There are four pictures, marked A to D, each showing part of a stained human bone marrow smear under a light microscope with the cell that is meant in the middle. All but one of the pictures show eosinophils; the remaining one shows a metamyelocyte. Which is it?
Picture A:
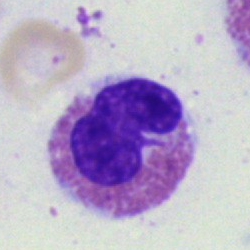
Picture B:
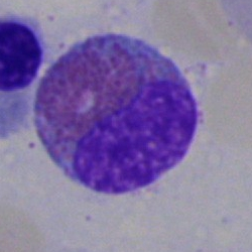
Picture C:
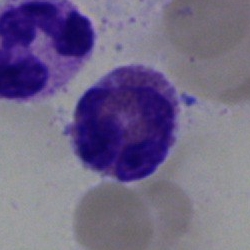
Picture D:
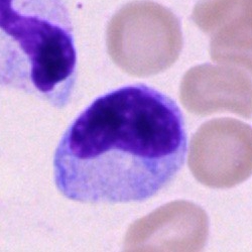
D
